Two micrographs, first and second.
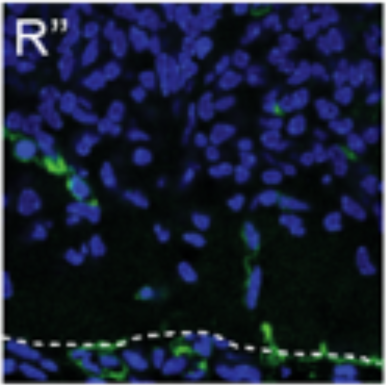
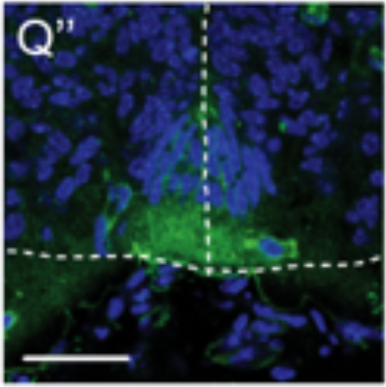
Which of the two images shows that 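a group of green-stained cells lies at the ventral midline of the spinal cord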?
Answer: the second image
